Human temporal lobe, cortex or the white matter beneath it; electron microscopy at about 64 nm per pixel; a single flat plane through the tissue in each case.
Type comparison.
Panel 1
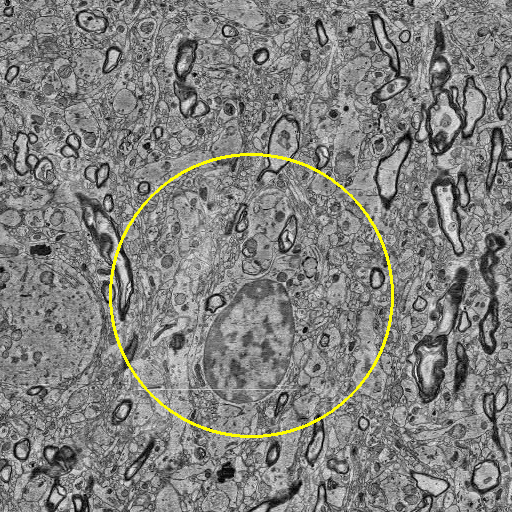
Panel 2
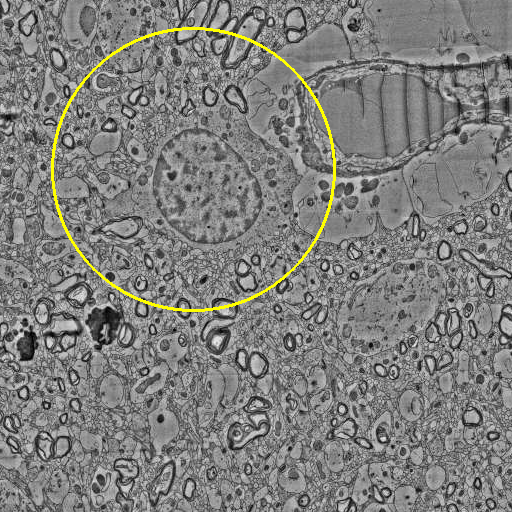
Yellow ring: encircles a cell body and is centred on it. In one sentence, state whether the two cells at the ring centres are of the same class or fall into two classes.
In these panels, the two cells at the ring centres fall into two classes.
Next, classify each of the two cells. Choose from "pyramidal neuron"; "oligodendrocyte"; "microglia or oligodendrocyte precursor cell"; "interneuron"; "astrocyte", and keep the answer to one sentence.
In the first picture it is a microglial cell or oligodendrocyte precursor cell; in the second it is an oligodendrocyte.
